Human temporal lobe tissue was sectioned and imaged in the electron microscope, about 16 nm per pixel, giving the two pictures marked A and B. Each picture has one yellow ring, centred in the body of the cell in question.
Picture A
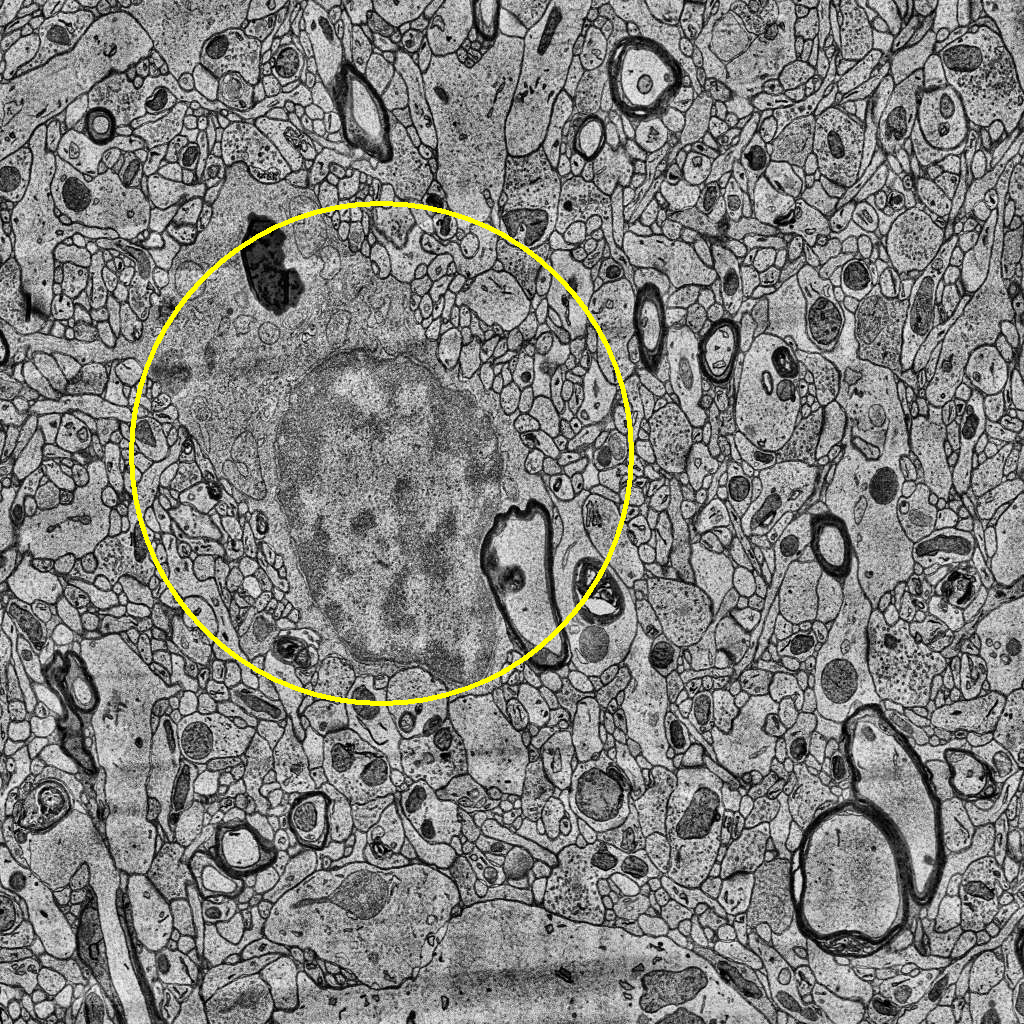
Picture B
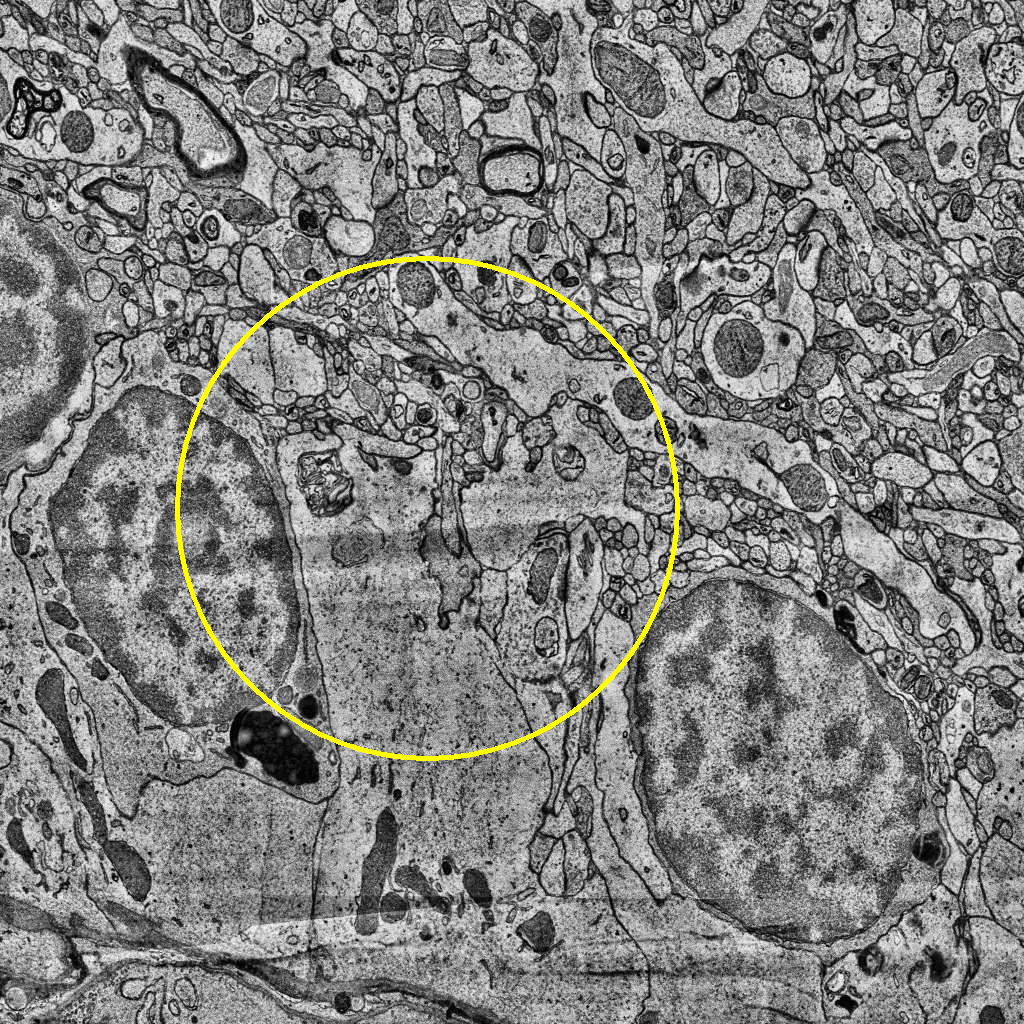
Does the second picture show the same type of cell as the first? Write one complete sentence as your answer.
Yes, both are oligodendrocytes.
